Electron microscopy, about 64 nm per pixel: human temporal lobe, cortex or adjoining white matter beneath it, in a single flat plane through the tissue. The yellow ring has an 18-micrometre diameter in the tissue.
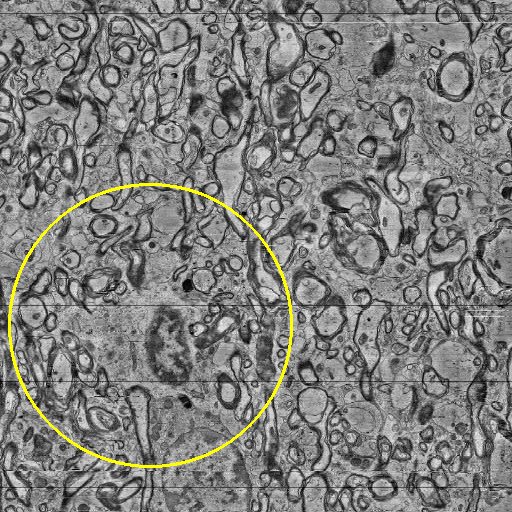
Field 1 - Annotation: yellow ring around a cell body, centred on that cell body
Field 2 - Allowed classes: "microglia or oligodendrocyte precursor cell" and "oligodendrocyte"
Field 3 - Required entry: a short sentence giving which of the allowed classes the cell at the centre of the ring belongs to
The centred cell is a microglial cell or oligodendrocyte precursor cell.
